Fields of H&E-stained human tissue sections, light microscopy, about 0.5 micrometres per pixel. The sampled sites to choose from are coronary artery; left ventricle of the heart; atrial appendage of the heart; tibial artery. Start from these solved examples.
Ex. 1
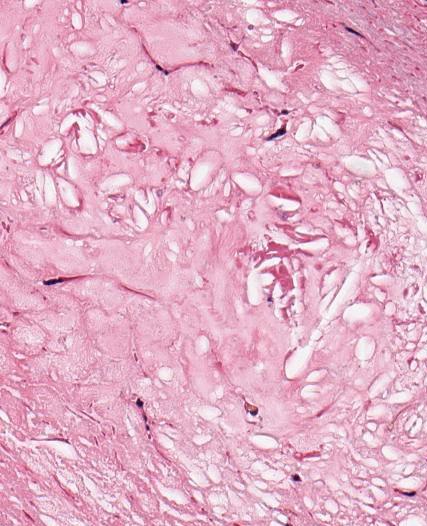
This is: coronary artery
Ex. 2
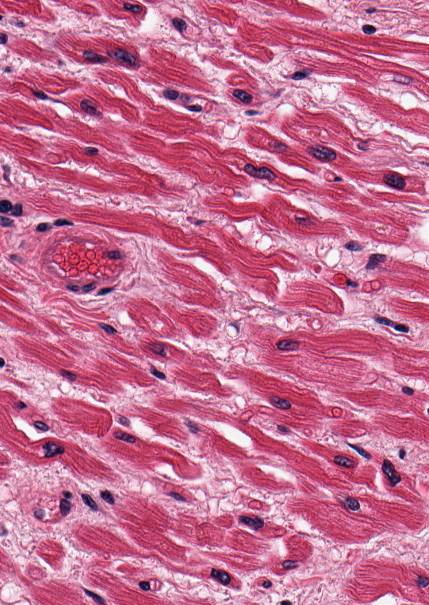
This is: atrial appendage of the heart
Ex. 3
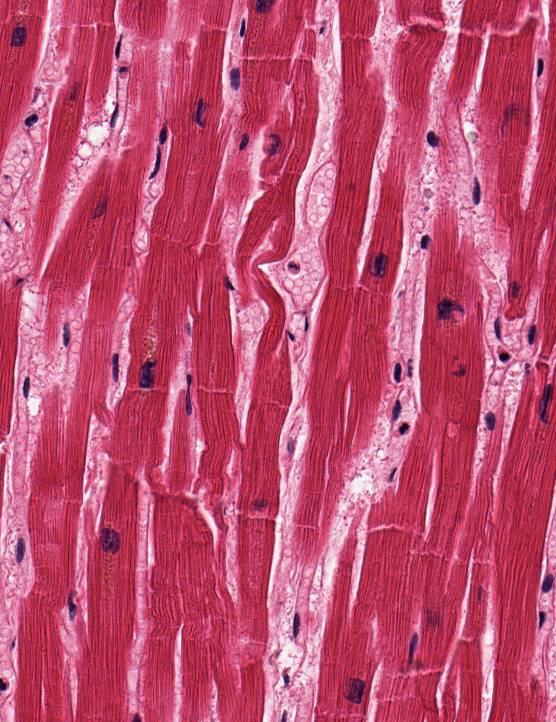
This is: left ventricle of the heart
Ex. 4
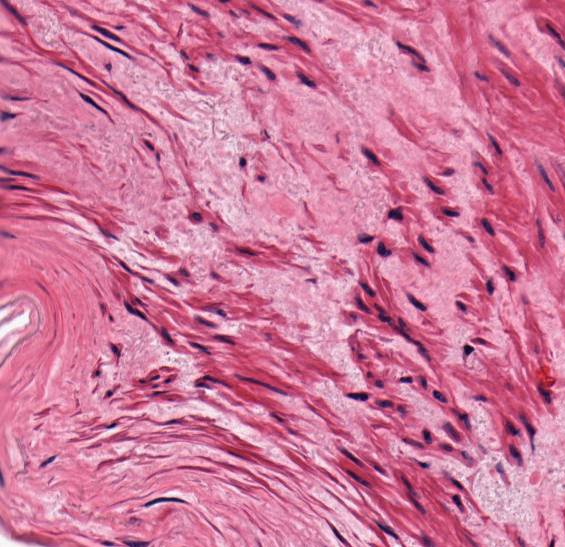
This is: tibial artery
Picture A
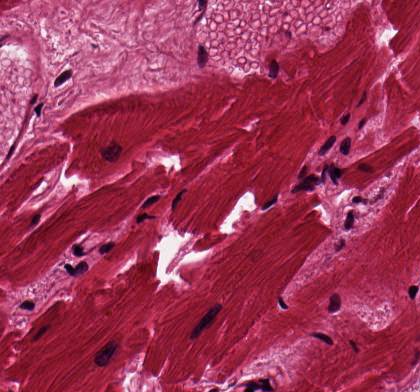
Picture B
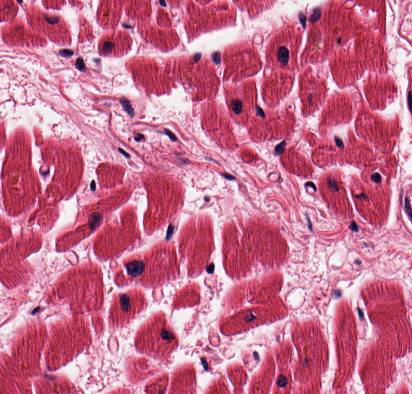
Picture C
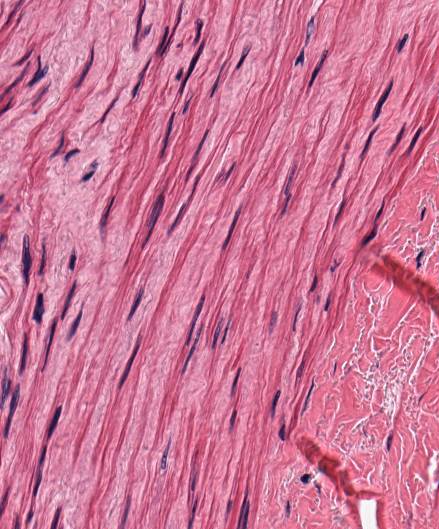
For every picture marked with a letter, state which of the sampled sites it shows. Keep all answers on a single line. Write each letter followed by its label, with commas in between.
A left ventricle of the heart, B left ventricle of the heart, C tibial artery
